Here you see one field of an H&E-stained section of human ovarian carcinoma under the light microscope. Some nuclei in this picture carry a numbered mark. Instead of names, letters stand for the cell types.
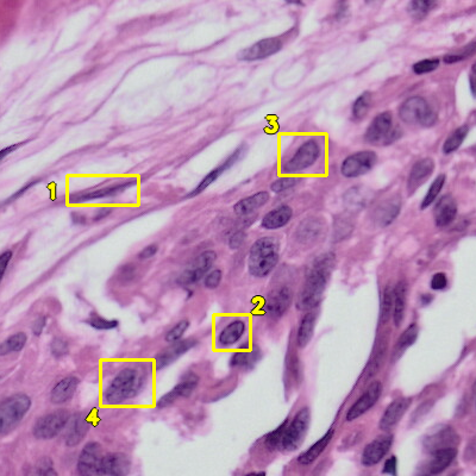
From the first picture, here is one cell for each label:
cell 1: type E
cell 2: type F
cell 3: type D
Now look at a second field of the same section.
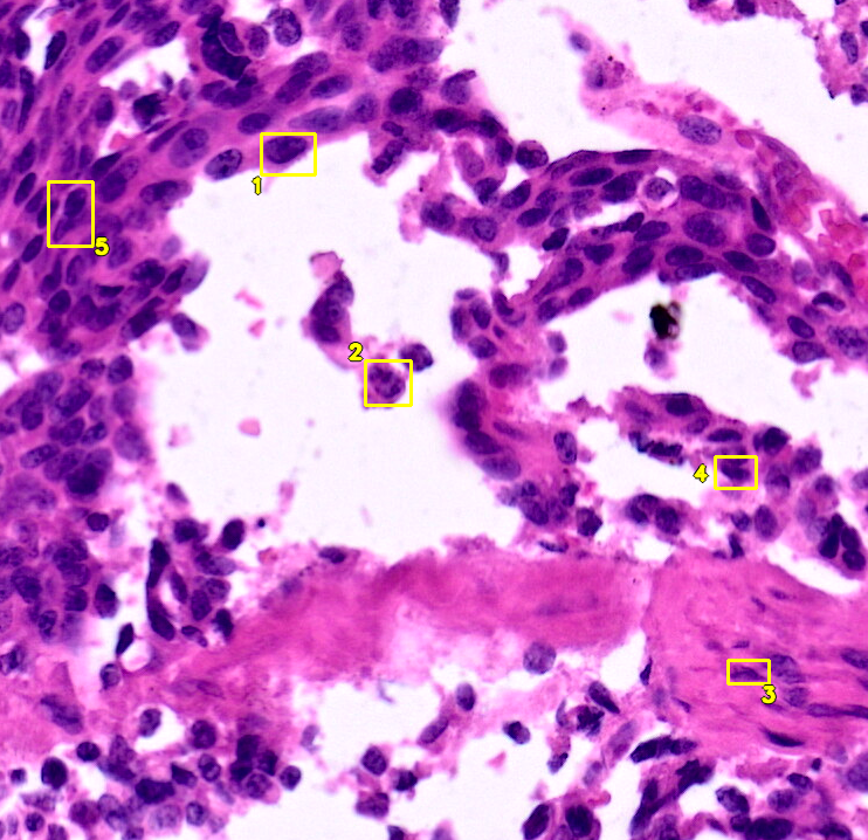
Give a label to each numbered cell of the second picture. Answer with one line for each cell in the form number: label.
1: type D
2: type F
3: type E
4: type D
5: type D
